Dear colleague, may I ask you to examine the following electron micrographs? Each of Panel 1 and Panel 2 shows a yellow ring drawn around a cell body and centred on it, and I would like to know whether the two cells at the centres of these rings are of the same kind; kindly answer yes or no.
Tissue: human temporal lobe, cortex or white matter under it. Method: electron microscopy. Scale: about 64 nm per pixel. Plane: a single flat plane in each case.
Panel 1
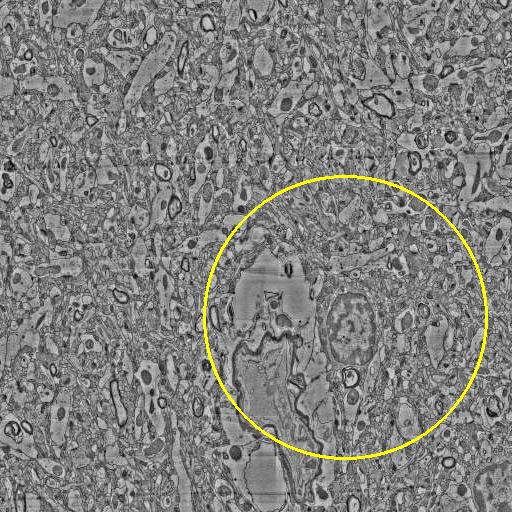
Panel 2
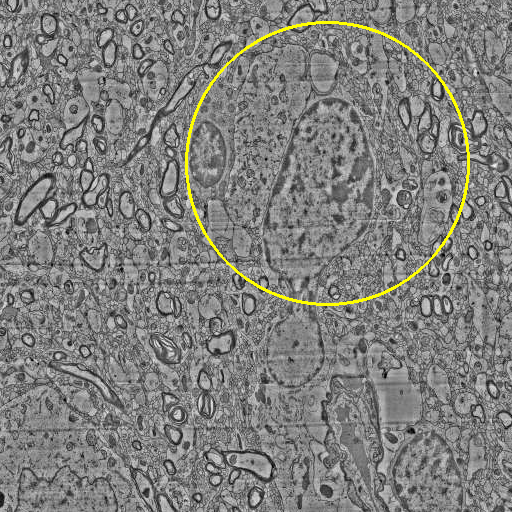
no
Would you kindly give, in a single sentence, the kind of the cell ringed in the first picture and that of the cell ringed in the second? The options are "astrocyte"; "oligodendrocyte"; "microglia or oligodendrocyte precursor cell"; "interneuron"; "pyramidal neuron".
The second cell is a microglial cell or oligodendrocyte precursor cell, and the first cell is an oligodendrocyte.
